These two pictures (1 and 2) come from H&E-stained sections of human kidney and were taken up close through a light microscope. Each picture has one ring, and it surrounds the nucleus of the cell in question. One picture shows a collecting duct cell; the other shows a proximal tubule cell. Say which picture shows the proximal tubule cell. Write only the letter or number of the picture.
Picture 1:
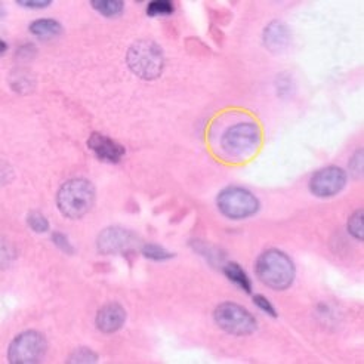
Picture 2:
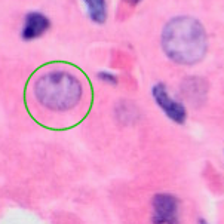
2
